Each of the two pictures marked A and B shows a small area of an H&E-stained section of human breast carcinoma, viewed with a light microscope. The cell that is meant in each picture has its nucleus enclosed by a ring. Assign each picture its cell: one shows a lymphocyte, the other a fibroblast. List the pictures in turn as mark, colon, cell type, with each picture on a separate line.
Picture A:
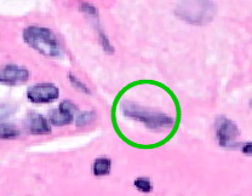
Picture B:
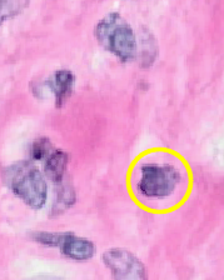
A: fibroblast
B: lymphocyte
